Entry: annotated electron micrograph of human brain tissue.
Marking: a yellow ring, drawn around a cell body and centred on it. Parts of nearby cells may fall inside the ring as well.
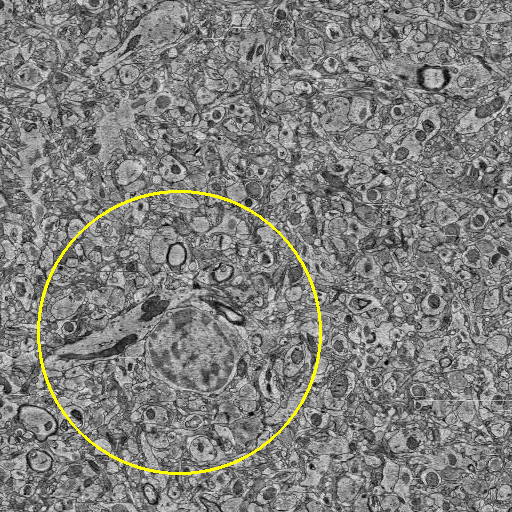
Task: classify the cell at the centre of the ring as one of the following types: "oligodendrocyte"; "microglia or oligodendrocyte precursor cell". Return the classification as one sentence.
The marked cell is classified as a microglial cell or oligodendrocyte precursor cell.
